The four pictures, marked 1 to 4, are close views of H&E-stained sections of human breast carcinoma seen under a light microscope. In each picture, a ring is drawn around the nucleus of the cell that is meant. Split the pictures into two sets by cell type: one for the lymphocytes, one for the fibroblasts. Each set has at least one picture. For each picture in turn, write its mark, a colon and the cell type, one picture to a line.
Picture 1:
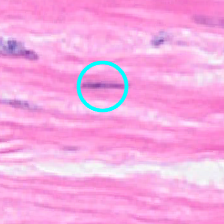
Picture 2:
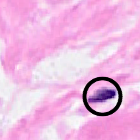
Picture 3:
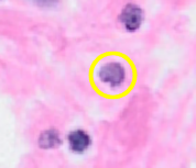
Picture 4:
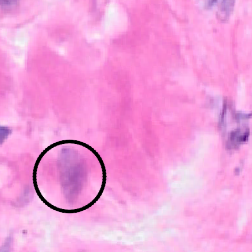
1: fibroblast
2: fibroblast
3: lymphocyte
4: fibroblast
